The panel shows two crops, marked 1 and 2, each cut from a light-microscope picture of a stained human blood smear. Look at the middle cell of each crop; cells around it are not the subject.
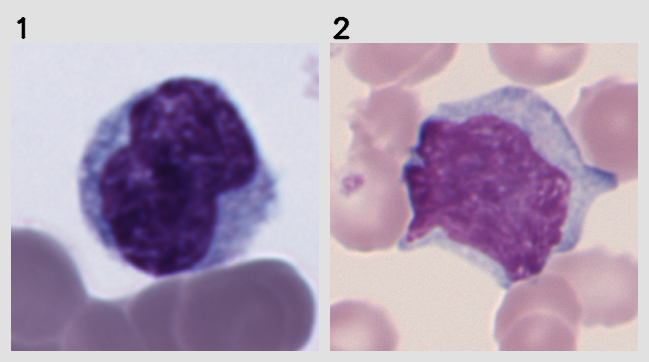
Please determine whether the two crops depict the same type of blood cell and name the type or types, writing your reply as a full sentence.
Yes, in both crops, monocytes are the cells at the middle.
